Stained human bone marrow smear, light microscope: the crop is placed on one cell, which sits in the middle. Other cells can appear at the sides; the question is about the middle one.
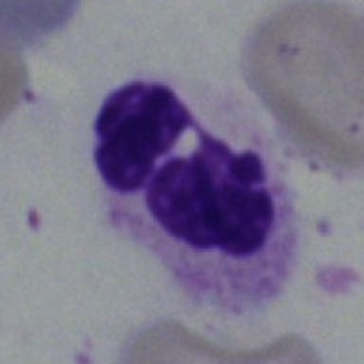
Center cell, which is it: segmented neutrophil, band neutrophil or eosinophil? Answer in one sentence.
The crop centres on a single cell, and that cell is a segmented neutrophil.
